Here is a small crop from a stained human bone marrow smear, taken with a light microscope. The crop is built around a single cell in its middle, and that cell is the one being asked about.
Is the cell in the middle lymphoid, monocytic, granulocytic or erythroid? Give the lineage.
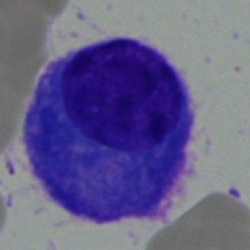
lymphoid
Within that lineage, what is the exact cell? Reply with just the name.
plasma cell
